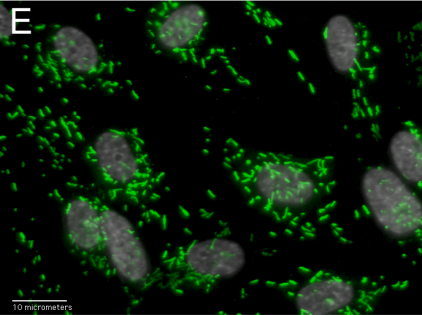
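These are cultured cells, each with a gray oval nucleus surrounded by many small green rod-shaped granules in the cytoplasm. The rods are short, straight or slightly curved, and fairly uniform in width. They cluster densely around the nucleus and scatter more sparsely toward the cell edges. Some rods overlie the nucleus, but most lie beside it.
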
